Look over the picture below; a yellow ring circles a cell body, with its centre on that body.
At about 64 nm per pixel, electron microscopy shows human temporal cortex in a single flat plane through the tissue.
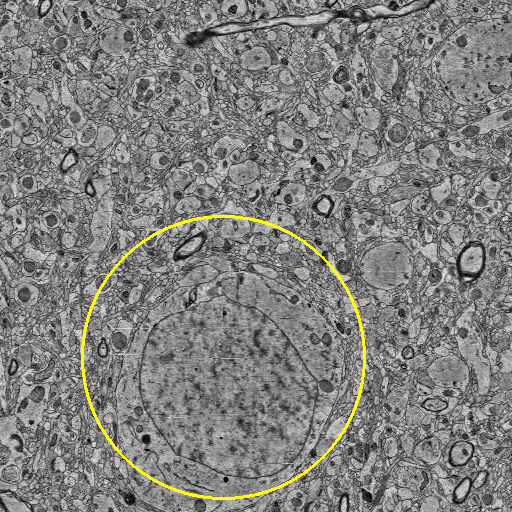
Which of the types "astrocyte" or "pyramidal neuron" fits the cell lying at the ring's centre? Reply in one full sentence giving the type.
The picture shows a pyramidal neuron at the centre of the yellow ring.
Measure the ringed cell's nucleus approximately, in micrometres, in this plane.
Approximately 13 micrometres long and 11 micrometres wide, in this plane.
